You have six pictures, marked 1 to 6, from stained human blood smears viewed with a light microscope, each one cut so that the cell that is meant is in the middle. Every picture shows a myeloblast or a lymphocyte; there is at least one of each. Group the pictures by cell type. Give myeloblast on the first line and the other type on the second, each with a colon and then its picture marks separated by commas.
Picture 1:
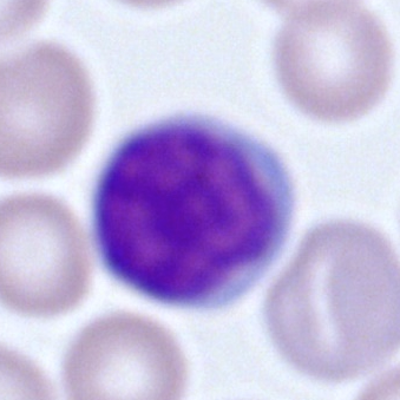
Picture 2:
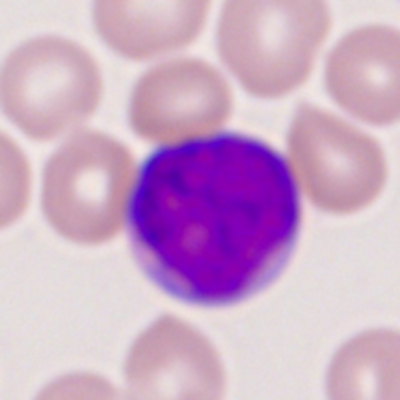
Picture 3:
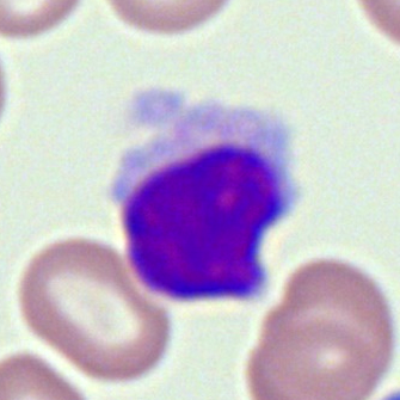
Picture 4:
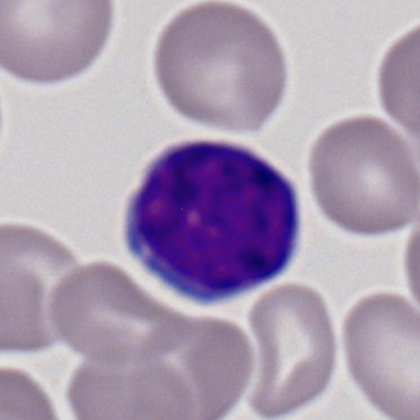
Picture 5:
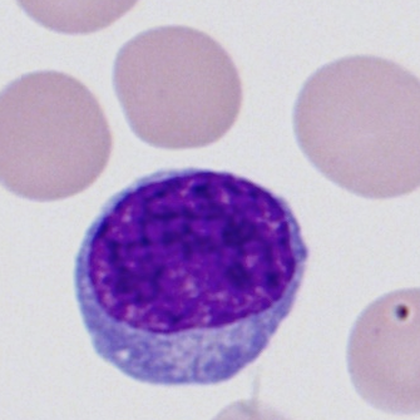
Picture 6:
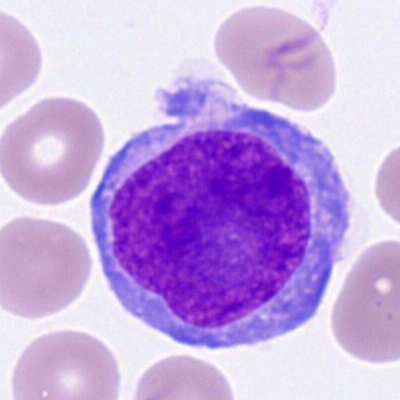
myeloblast: 2, 6
lymphocyte: 1, 3, 4, 5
